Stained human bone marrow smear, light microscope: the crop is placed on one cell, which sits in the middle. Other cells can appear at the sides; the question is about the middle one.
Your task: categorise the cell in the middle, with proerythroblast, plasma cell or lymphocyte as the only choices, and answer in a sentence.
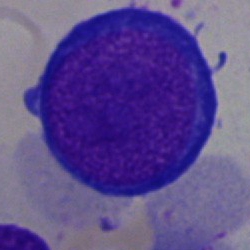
The target cell in the middle of the crop is a proerythroblast.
